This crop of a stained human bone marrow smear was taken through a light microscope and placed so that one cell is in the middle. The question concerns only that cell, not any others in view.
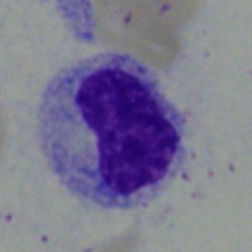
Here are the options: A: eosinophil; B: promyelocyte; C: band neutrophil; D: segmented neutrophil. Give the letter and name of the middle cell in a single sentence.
That the central cell is a band neutrophil makes option C correct.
